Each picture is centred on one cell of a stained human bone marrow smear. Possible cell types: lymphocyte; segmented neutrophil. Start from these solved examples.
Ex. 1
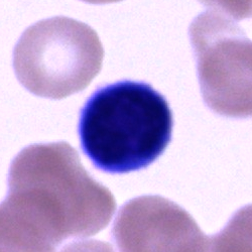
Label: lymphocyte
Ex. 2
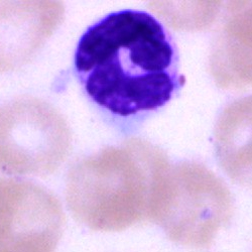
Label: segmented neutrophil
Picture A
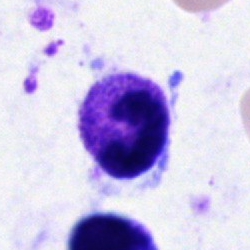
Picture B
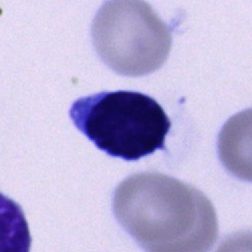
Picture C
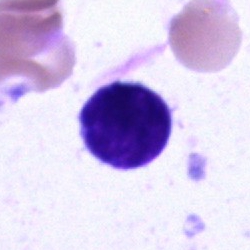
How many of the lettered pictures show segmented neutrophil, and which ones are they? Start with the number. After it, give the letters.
Count: 1 (A)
